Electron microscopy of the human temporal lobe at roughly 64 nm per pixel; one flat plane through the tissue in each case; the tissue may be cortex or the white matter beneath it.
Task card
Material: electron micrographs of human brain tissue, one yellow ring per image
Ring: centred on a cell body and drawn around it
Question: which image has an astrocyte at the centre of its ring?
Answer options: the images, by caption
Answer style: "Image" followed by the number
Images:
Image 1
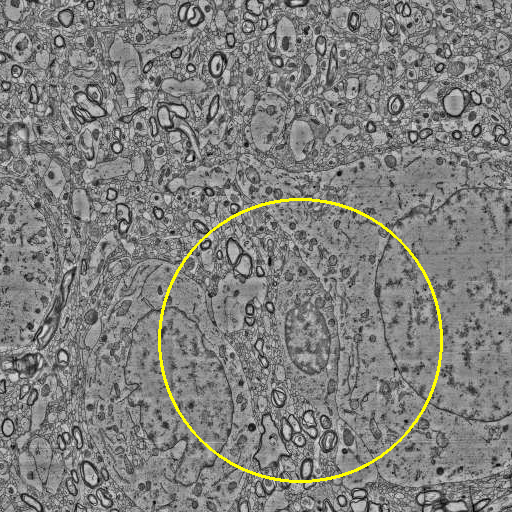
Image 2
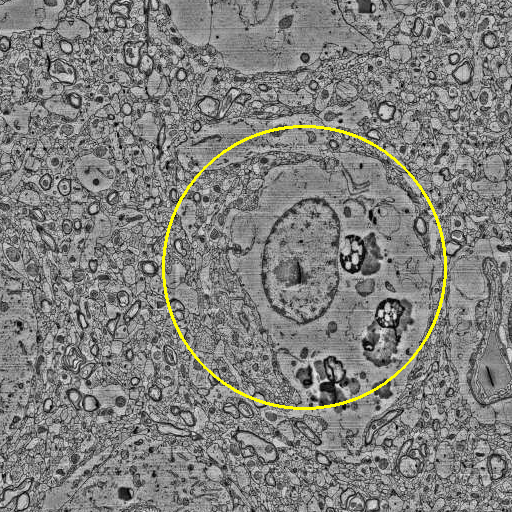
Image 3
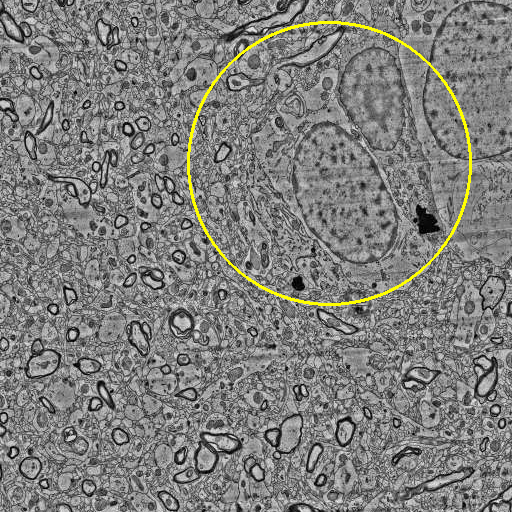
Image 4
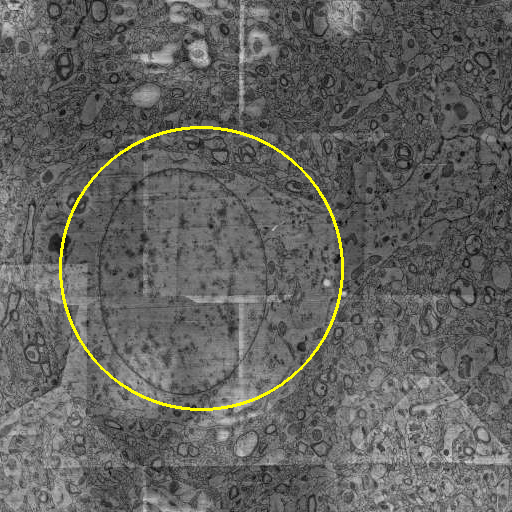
Image 2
